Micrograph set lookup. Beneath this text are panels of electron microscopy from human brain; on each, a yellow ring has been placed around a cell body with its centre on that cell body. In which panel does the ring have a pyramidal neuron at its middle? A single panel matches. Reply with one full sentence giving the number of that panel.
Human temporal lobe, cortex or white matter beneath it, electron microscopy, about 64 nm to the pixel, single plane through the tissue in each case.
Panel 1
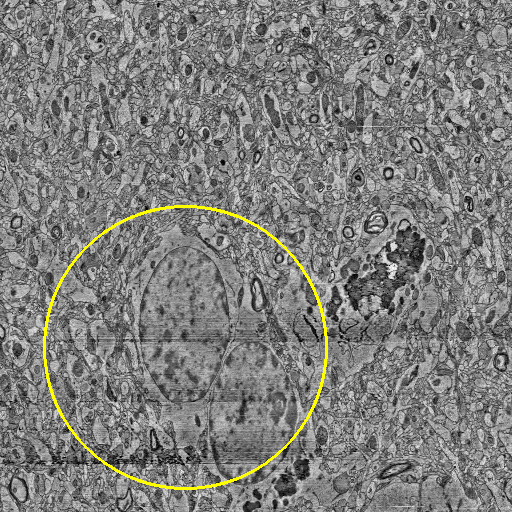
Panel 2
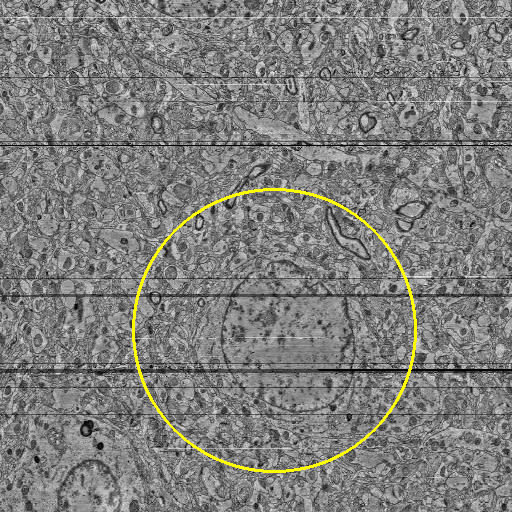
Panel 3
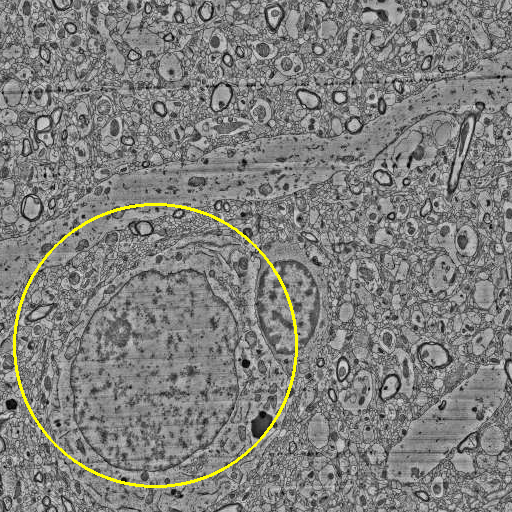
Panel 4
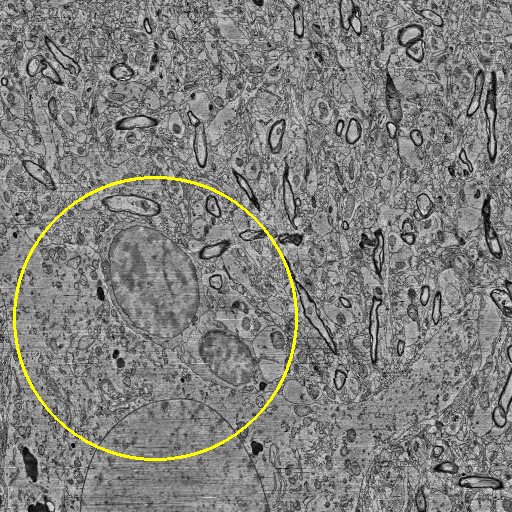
Panel 2 is the one whose ring has the sought cell at its centre.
